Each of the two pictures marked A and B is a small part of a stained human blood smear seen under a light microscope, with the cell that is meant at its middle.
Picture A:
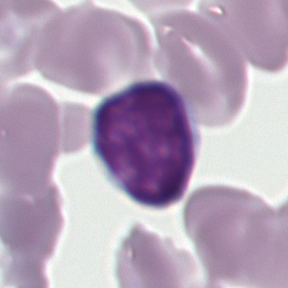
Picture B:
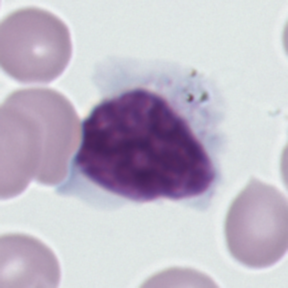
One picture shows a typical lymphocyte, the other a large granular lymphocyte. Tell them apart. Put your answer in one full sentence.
The cell in picture A is a typical lymphocyte, and the one in picture B is a large granular lymphocyte.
